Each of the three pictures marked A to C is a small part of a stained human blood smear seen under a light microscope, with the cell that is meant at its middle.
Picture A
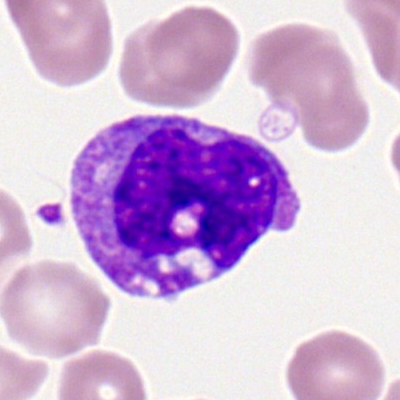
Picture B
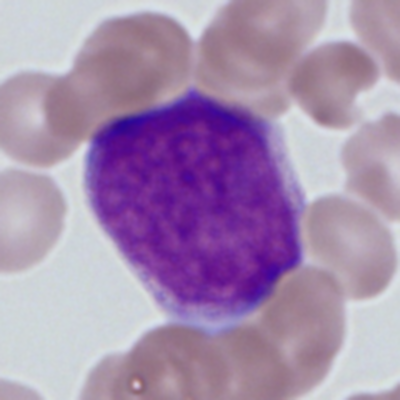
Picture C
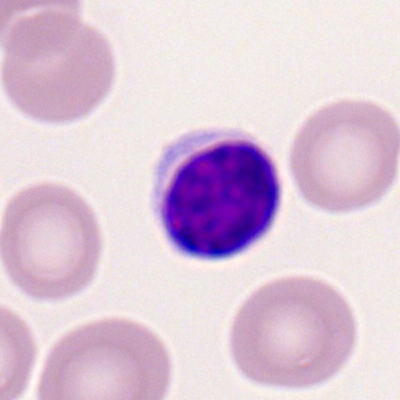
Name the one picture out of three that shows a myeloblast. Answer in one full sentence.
The cell in picture B is the myeloblast.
